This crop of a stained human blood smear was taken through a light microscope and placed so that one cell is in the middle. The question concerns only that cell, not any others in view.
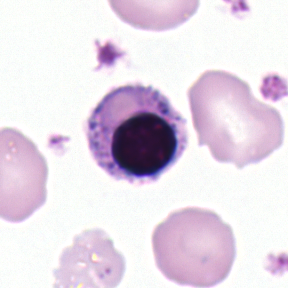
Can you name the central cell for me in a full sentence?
The cell around which this crop is centred is a normoblast.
